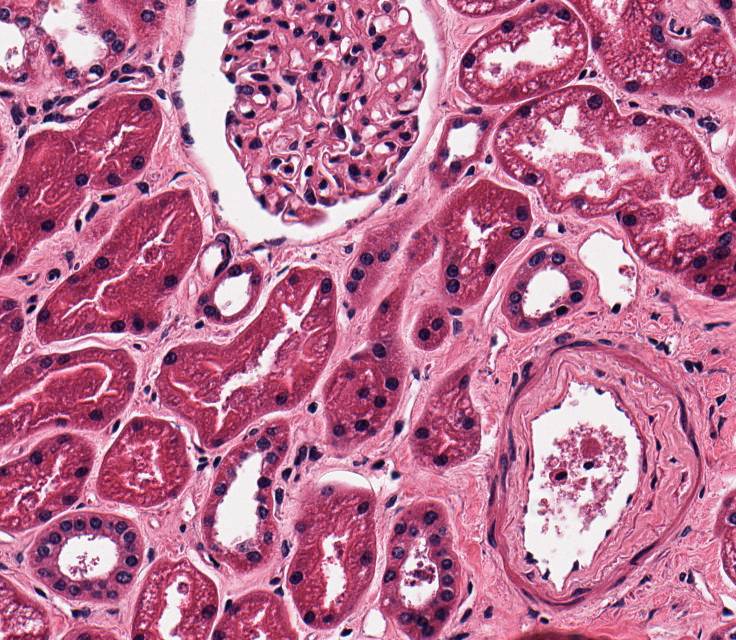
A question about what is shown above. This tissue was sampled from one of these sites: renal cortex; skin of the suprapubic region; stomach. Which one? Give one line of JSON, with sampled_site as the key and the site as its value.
{"sampled_site": "renal cortex"}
